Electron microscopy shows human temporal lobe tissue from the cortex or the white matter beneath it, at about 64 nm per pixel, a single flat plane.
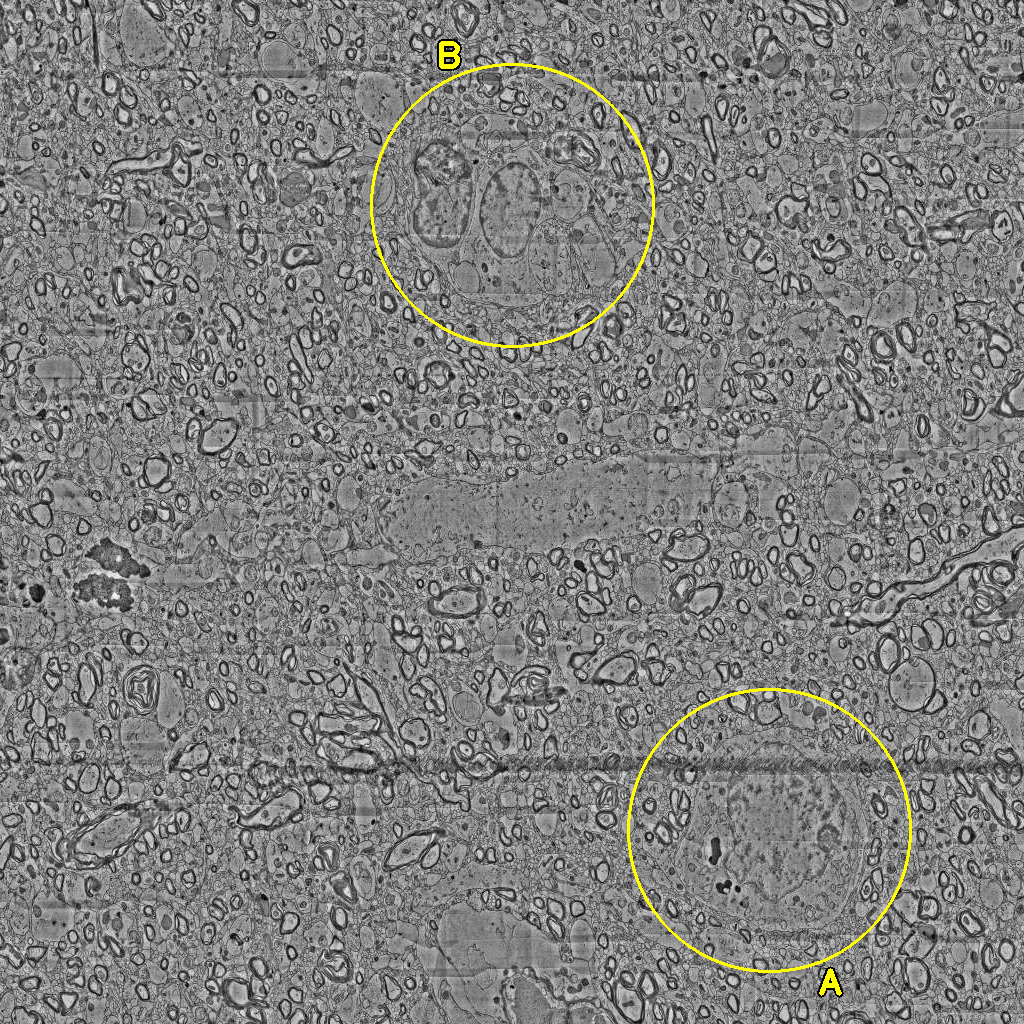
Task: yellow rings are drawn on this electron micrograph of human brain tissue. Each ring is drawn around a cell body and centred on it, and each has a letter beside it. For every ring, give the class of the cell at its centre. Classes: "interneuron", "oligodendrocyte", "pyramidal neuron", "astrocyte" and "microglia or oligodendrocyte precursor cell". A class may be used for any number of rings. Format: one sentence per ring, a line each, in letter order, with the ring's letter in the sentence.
The cell ringed as A is an interneuron.
The cell ringed as B is a microglial cell or oligodendrocyte precursor cell.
